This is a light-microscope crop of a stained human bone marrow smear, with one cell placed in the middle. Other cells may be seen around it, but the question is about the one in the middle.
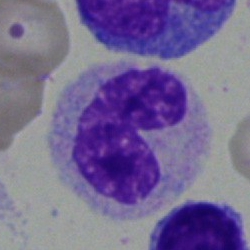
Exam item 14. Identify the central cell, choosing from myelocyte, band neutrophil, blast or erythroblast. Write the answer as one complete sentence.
In short, the cell at the center is a band neutrophil.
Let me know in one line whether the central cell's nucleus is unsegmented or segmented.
A single compact nucleus, round, oval or kidney-shaped, is what this cell shows.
